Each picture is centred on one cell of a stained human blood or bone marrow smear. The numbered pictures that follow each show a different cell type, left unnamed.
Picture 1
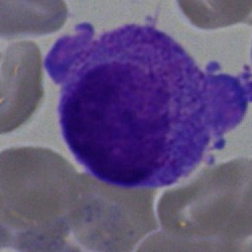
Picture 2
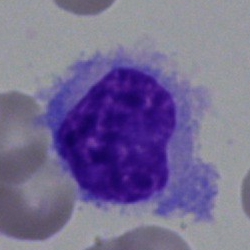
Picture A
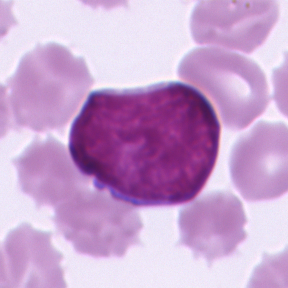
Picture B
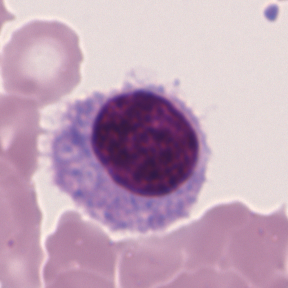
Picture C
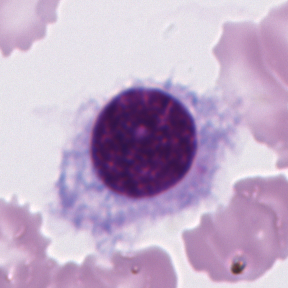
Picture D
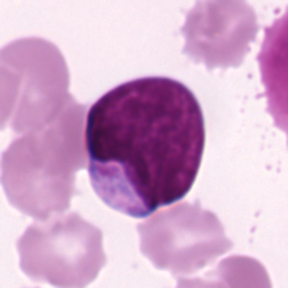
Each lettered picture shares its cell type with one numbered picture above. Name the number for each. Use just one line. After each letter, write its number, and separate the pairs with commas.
A 1, B 2, C 2, D 1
